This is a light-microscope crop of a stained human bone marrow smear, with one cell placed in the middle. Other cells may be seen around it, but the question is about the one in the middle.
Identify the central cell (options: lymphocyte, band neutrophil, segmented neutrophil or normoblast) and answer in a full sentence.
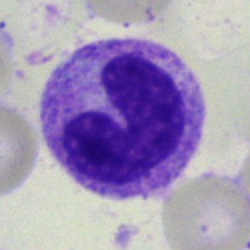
Regarding the central cell, it is a band neutrophil.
